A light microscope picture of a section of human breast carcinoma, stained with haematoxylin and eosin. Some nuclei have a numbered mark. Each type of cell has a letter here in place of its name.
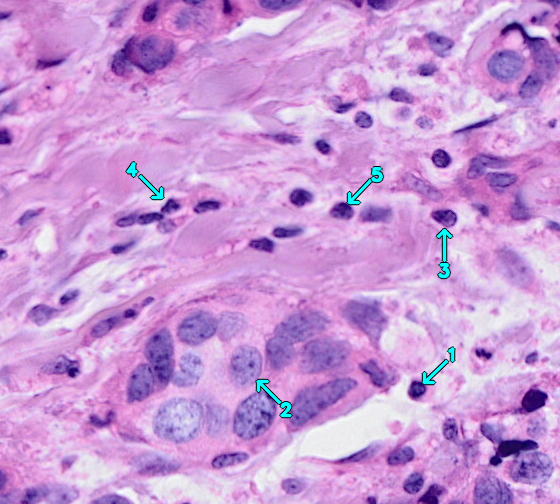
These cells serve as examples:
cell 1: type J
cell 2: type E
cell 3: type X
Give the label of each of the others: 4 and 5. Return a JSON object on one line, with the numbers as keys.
{"4": "type X", "5": "type X"}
